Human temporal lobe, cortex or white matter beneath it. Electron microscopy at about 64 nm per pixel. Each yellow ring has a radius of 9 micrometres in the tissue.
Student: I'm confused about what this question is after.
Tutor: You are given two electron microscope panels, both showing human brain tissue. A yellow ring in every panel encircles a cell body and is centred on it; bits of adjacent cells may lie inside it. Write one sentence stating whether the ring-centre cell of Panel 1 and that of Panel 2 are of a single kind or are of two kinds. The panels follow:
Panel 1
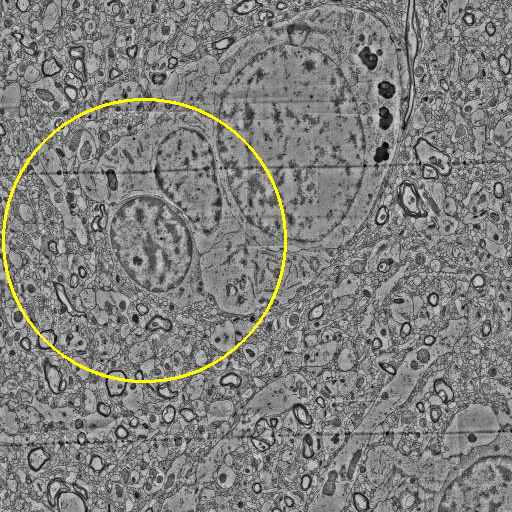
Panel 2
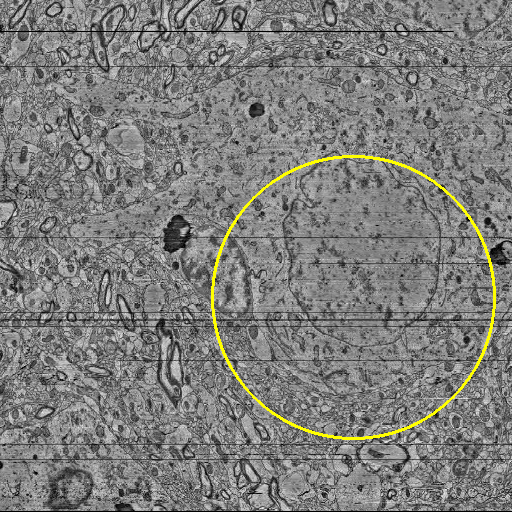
Here, the Panel 1 ring-centre cell and the Panel 2 ring-centre cell are of two kinds.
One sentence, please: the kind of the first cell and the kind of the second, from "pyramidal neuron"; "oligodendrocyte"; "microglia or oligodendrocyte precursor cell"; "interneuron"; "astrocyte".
The ring in the first picture surrounds an oligodendrocyte, and the ring in the second surrounds a pyramidal neuron.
